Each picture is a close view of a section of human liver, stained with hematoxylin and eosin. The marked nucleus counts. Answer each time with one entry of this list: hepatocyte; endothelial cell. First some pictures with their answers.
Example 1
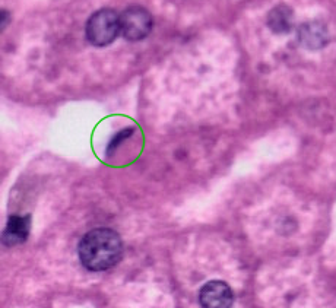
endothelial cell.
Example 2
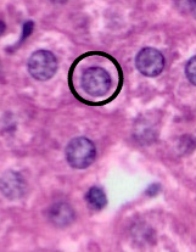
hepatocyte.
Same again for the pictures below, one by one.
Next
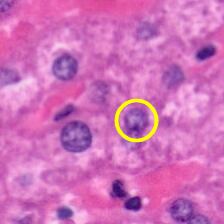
hepatocyte.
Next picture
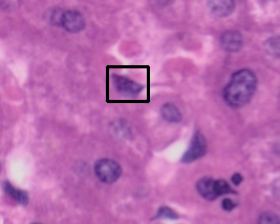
endothelial cell.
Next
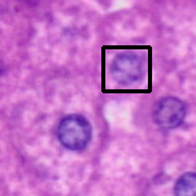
hepatocyte.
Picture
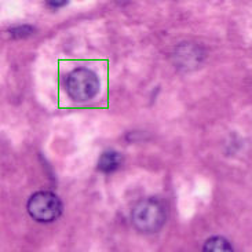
hepatocyte.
